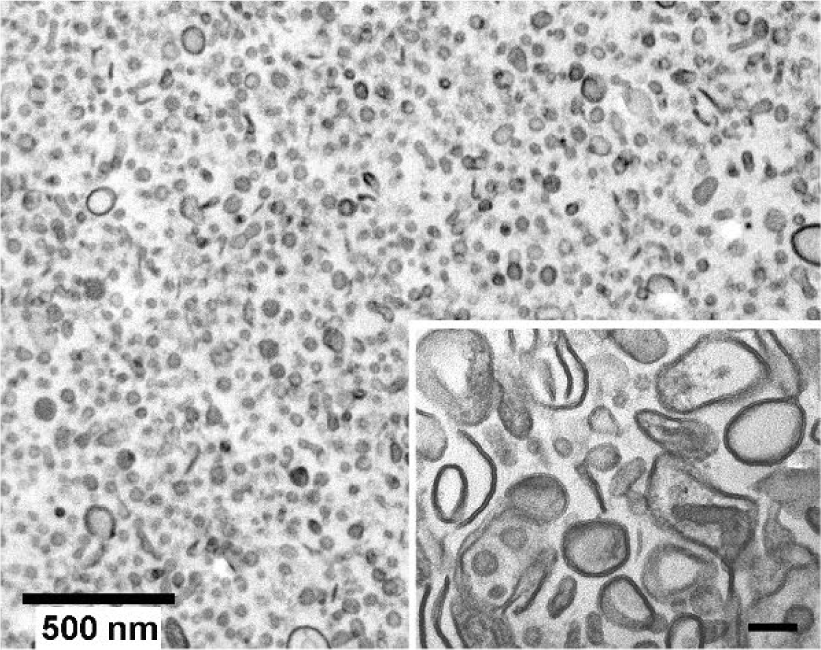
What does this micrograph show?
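The profiles are packed closely side by side and are mostly small round or oval outlines, many with dark contents. Scattered among them are a few larger vesicles with a clear lumen and a thin dark rim. The inset at higher magnification shows vesicles bounded by a single dark membrane, some round, others flattened, elongated or folded.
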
